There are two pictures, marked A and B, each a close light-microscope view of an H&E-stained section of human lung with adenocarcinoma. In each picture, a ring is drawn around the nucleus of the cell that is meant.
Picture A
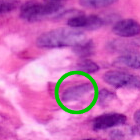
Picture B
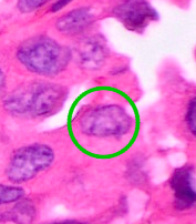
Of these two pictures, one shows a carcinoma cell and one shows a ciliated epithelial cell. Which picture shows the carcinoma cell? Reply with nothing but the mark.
B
